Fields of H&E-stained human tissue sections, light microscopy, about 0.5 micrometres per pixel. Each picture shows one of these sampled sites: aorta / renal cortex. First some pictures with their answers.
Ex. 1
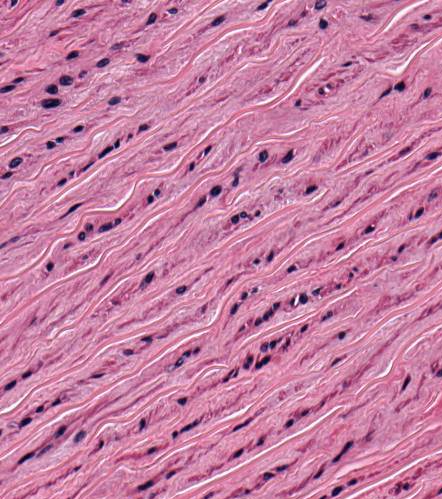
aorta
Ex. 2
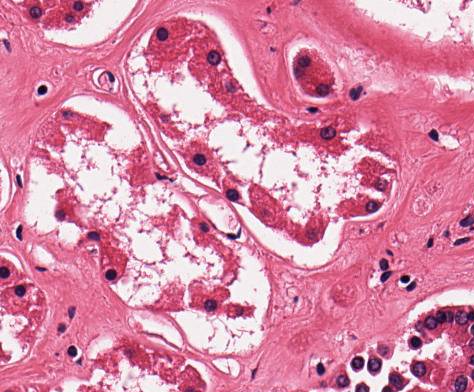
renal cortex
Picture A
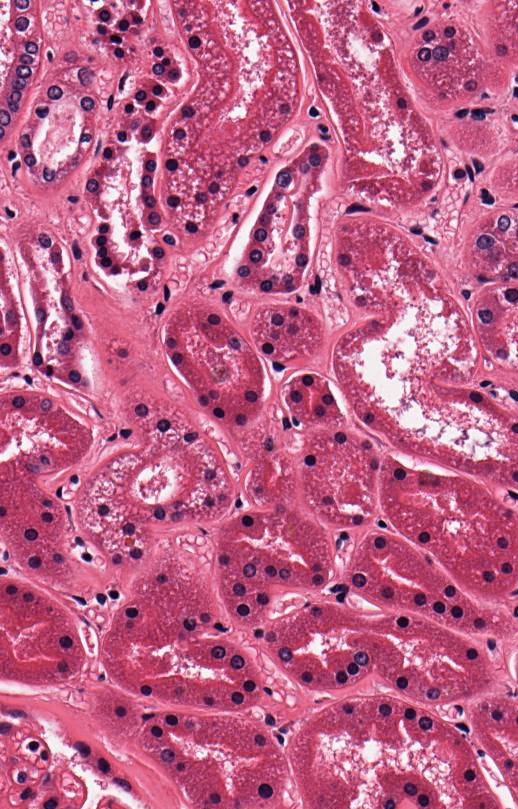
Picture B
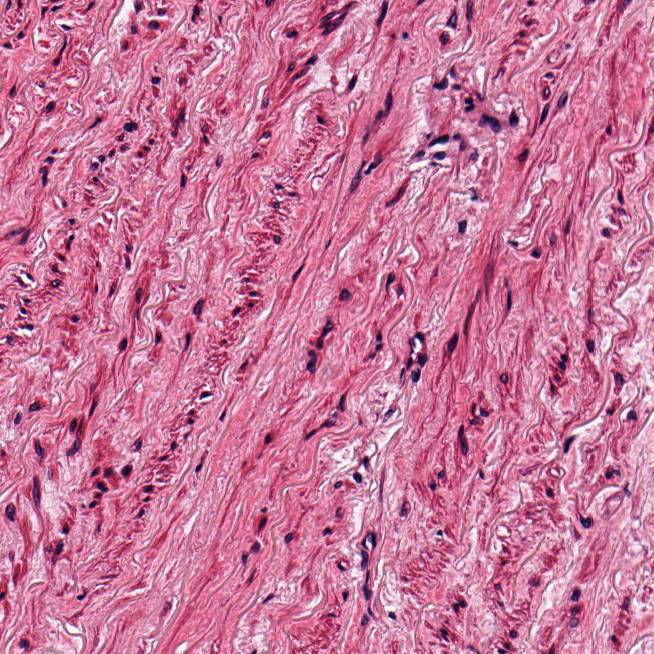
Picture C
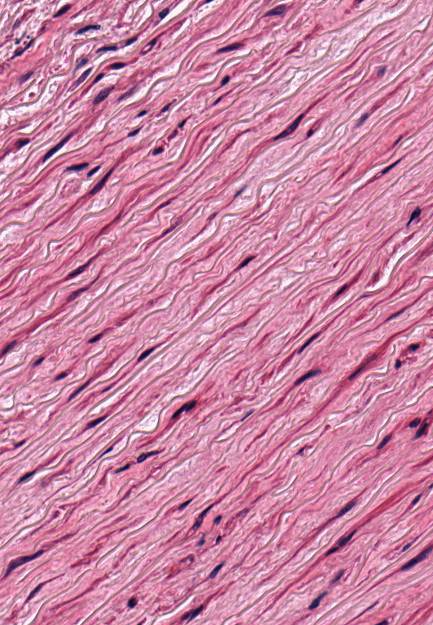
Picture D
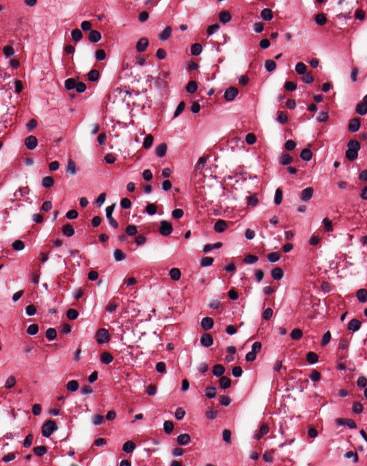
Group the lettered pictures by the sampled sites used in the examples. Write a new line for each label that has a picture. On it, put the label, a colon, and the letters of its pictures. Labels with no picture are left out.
aorta: B, C
renal cortex: A, D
